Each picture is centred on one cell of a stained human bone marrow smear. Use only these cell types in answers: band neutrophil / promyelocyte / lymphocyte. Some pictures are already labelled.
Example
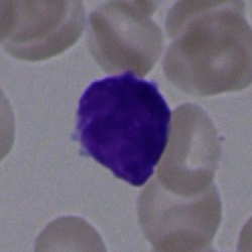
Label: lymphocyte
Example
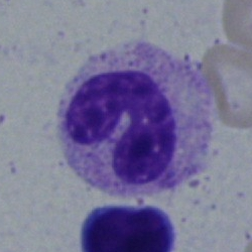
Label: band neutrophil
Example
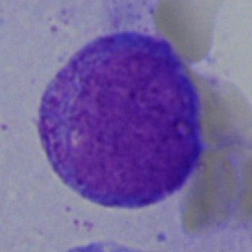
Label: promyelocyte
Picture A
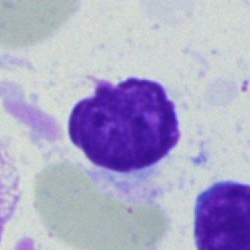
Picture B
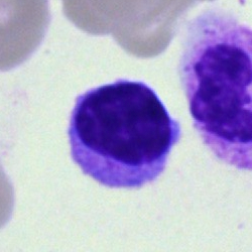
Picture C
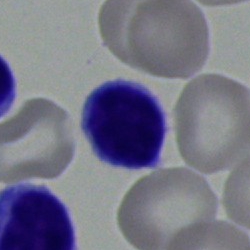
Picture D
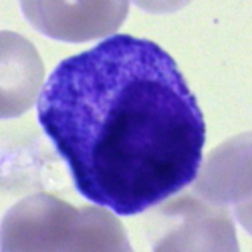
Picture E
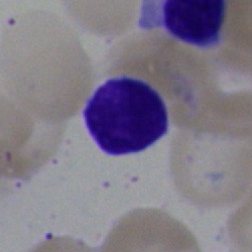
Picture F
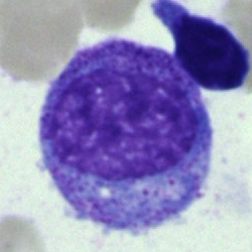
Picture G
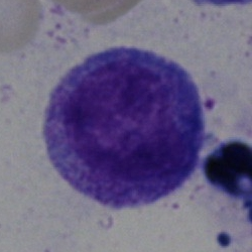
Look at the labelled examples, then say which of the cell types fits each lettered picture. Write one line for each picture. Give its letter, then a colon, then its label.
A: lymphocyte
B: lymphocyte
C: lymphocyte
D: promyelocyte
E: lymphocyte
F: promyelocyte
G: promyelocyte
